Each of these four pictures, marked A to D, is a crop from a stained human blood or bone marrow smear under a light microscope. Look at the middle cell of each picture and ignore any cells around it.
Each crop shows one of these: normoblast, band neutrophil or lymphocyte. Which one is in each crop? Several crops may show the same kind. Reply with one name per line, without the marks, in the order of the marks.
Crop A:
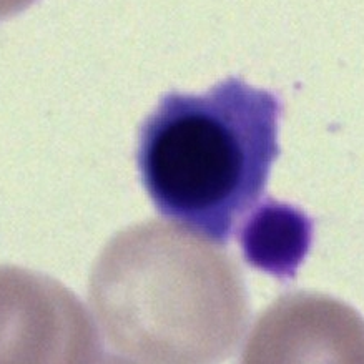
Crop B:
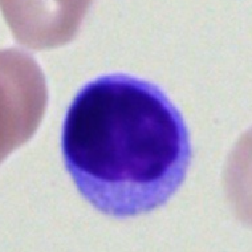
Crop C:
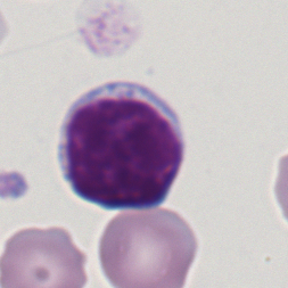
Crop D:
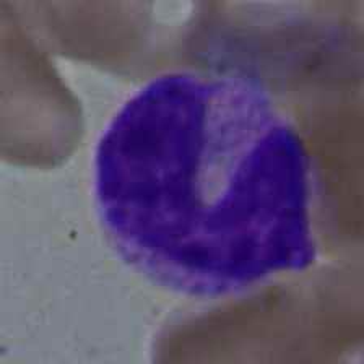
normoblast
lymphocyte
lymphocyte
band neutrophil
